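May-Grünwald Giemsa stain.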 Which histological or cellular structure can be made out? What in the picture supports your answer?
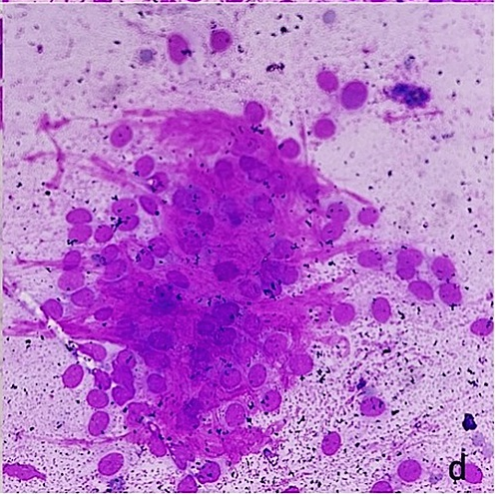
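Intercellular ropy collagenous matrix. Pink-magenta fibrillary, rope-like strands run between the cells. Oval nuclei are embedded in and around the strands.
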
